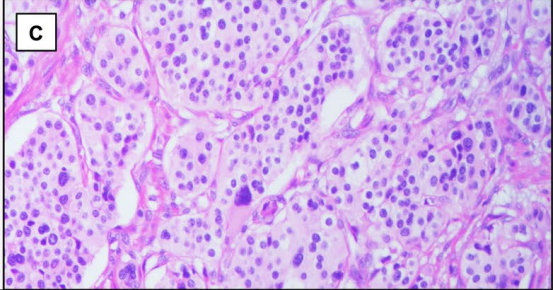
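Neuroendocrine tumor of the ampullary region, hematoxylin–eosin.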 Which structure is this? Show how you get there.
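Uniform round cells are grouped in rounded clusters. Thin pink fibrous septa separate the clusters. On this evidence: nested pattern.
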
